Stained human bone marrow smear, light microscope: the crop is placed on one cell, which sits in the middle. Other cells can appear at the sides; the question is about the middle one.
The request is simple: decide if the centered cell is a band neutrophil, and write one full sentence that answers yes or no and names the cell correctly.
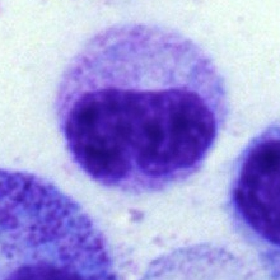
Yes, the cell that occupies the centre is a band neutrophil.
